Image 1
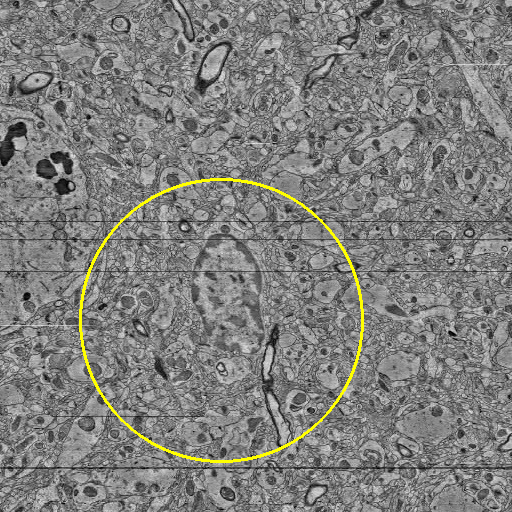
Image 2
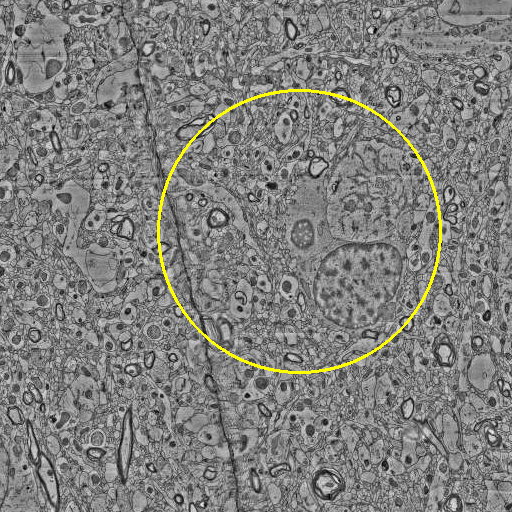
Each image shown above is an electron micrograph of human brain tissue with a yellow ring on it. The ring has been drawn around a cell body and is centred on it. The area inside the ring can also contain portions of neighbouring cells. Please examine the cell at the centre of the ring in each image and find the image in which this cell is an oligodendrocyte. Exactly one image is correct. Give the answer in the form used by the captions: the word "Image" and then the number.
Image 2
